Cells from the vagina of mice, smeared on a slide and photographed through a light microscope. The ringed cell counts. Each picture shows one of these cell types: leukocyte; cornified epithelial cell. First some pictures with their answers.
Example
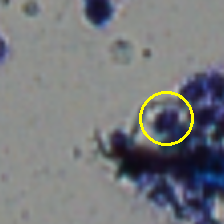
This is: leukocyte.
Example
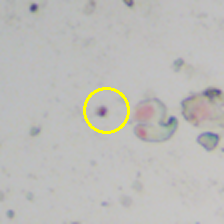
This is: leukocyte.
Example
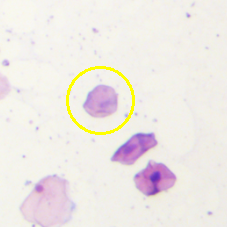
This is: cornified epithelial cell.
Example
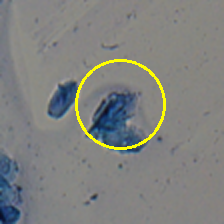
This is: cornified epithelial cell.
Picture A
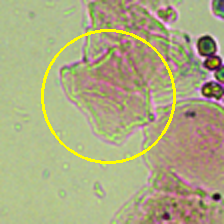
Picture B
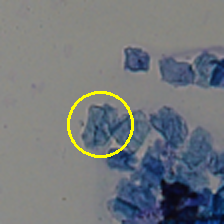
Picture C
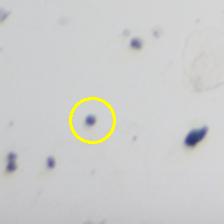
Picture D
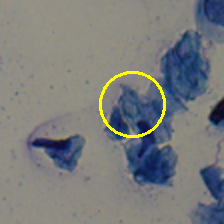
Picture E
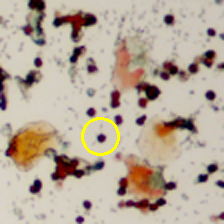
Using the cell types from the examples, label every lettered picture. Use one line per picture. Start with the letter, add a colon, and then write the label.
A: cornified epithelial cell.
B: cornified epithelial cell.
C: leukocyte.
D: cornified epithelial cell.
E: leukocyte.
